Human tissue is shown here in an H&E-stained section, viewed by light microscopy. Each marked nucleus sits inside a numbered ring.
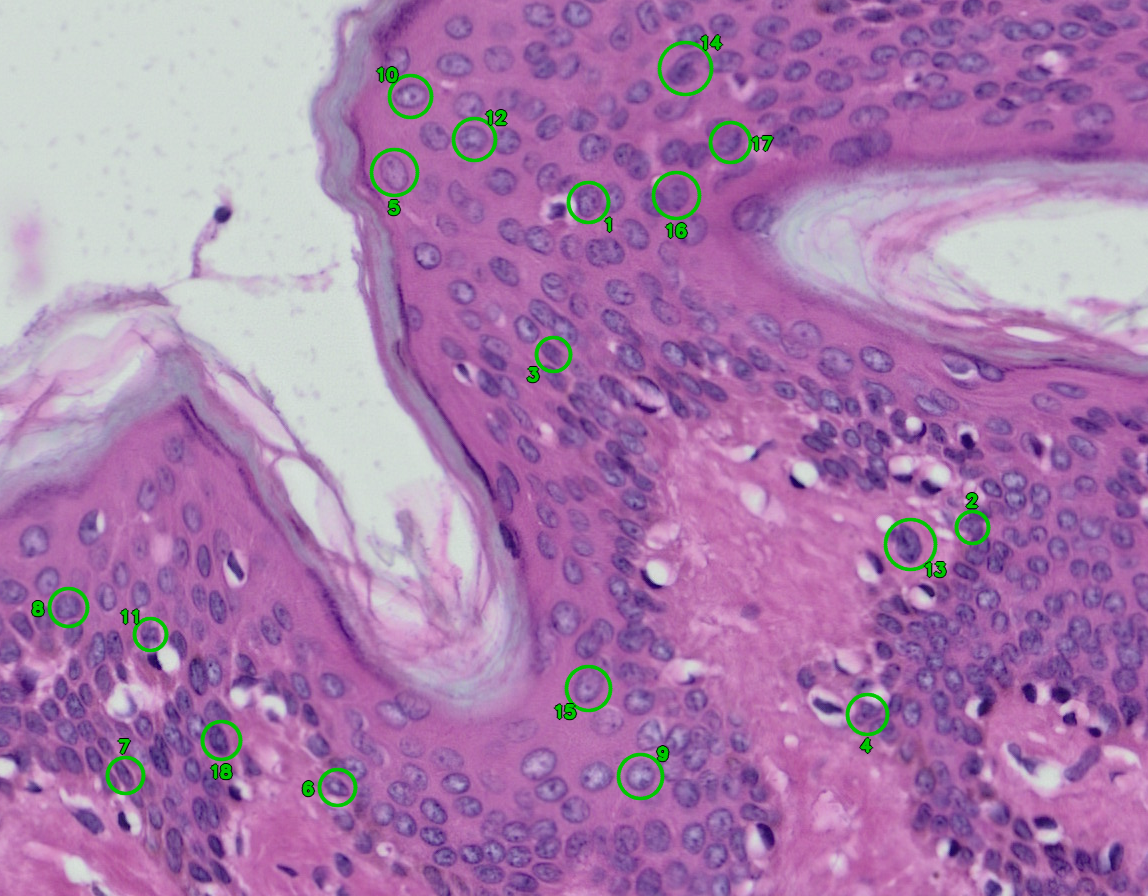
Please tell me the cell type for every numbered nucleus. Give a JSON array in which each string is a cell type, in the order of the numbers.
["suprabasal keratinocyte", "basal keratinocyte", "basal keratinocyte", "basal keratinocyte", "suprabasal keratinocyte", "basal keratinocyte", "basal keratinocyte", "suprabasal keratinocyte", "suprabasal keratinocyte", "suprabasal keratinocyte", "basal keratinocyte", "suprabasal keratinocyte", "fibroblast", "suprabasal keratinocyte", "suprabasal keratinocyte", "suprabasal keratinocyte", "suprabasal keratinocyte", "basal keratinocyte"]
